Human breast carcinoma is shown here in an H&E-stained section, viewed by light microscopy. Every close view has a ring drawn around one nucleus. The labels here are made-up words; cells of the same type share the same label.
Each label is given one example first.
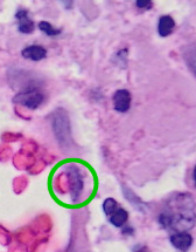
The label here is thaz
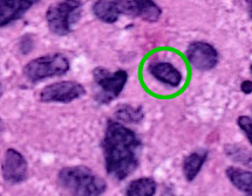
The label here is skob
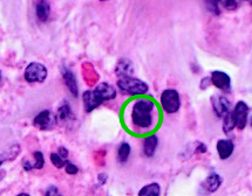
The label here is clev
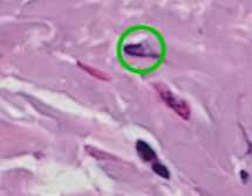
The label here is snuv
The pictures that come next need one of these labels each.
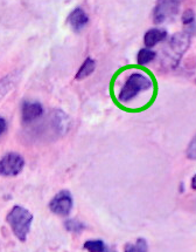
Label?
clev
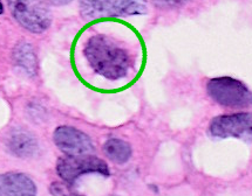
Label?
skob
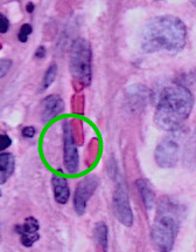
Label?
thaz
